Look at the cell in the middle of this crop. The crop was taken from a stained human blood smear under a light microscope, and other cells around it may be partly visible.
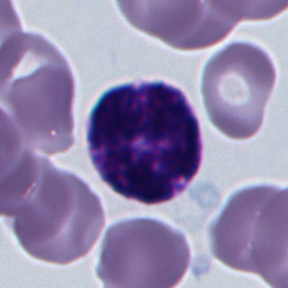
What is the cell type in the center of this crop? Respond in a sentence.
The center cell of this crop is a basophil.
